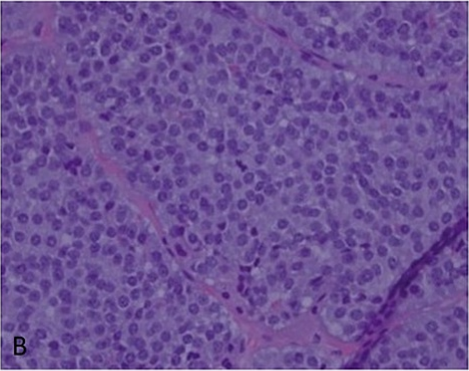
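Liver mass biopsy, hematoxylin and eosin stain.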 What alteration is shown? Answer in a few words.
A: Finely granular chromatin.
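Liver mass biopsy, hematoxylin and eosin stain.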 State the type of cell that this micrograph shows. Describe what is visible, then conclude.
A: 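Sheets of cells with uniform round nuclei of similar size. Little variation in nuclear shape from cell to cell. Cells crowded within a cluster bounded by thin pink septa.
Answer: Monotonous tumor cells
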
